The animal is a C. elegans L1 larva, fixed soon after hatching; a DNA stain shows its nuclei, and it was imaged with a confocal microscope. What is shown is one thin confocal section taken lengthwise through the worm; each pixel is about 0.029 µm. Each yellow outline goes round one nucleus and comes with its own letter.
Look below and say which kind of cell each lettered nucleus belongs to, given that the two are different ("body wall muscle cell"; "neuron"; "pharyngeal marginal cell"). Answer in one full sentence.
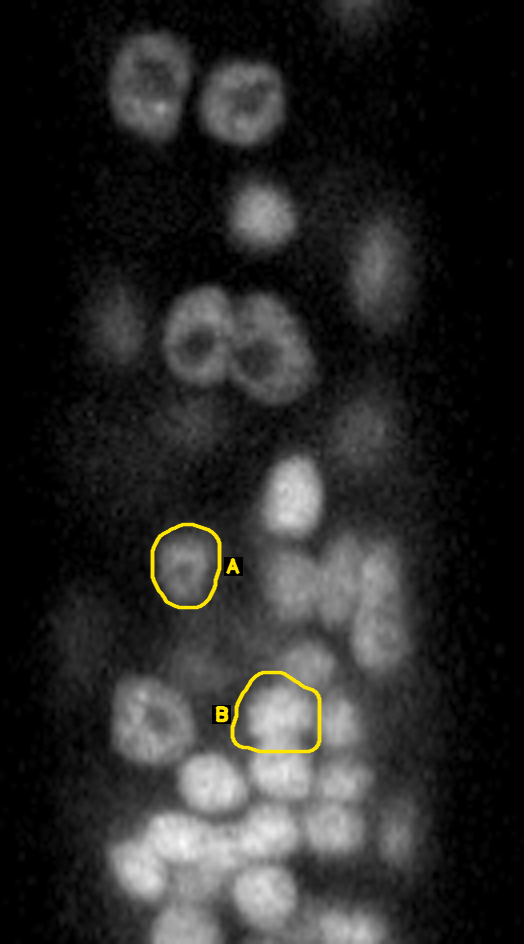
A is from a pharyngeal marginal cell, and B is from a neuron.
